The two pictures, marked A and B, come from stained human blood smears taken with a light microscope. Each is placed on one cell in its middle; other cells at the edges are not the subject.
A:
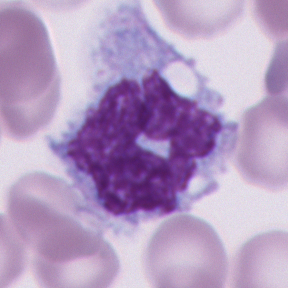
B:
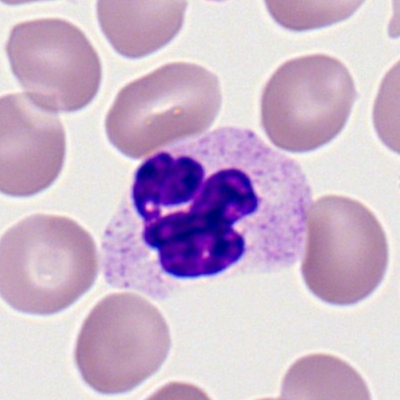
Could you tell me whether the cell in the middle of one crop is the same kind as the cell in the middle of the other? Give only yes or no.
no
